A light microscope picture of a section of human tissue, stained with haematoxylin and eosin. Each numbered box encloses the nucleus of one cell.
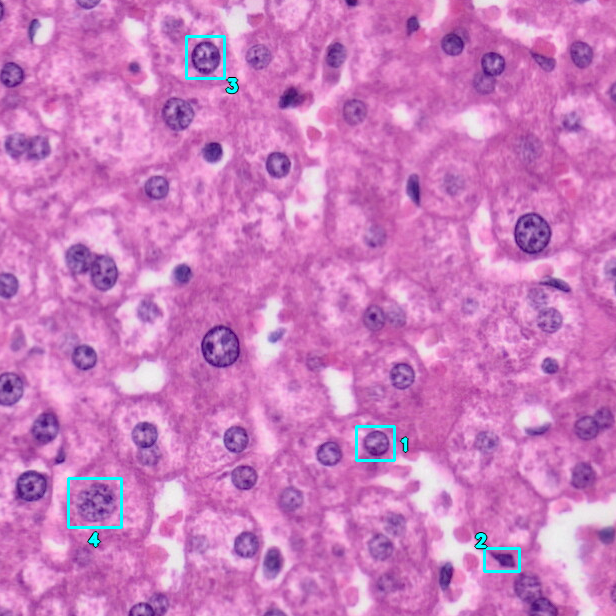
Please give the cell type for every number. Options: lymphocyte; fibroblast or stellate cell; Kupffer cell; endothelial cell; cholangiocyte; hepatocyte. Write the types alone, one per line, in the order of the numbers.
hepatocyte
fibroblast or stellate cell
hepatocyte
hepatocyte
